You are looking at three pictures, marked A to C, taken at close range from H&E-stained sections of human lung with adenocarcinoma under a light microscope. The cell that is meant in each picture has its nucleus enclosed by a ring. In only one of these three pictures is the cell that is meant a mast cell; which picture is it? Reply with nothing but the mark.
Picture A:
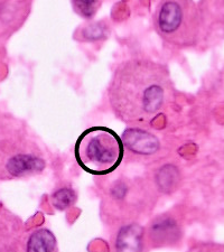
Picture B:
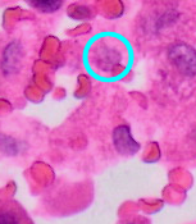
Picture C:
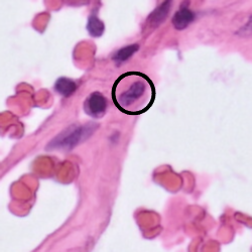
C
